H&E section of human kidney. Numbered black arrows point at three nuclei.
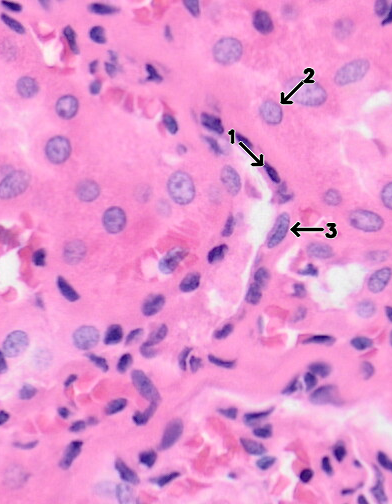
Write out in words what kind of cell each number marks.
Cell 1 is a collecting duct cell, cell 2 is a proximal tubule cell and cell 3 is a collecting duct cell.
